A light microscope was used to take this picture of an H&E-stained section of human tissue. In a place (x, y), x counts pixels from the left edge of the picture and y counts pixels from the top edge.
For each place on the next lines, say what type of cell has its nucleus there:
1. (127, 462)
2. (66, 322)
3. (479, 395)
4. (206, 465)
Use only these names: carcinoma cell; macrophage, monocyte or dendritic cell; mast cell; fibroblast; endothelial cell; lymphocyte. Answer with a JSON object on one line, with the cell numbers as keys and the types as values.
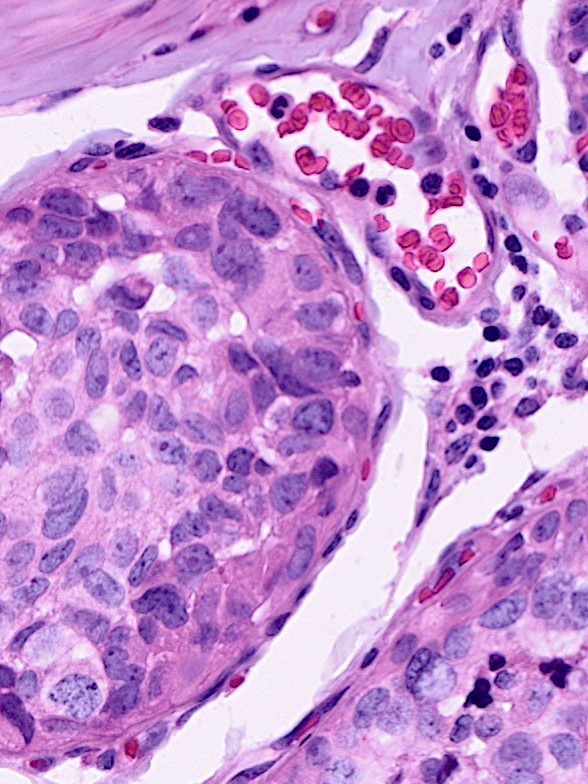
{"1": "carcinoma cell", "2": "carcinoma cell", "3": "lymphocyte", "4": "carcinoma cell"}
